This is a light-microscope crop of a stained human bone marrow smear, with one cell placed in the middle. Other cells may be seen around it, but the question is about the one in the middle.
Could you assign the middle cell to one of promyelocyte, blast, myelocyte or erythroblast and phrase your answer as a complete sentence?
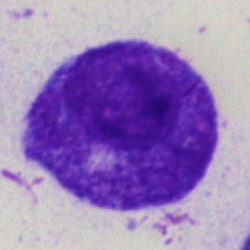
The cell in the middle of the field of view is a promyelocyte.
